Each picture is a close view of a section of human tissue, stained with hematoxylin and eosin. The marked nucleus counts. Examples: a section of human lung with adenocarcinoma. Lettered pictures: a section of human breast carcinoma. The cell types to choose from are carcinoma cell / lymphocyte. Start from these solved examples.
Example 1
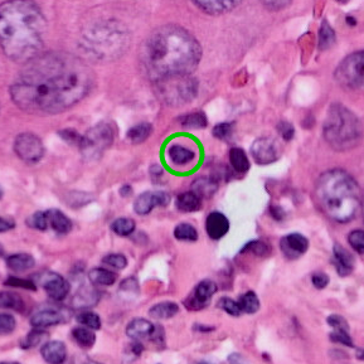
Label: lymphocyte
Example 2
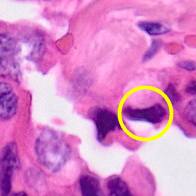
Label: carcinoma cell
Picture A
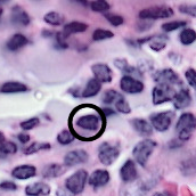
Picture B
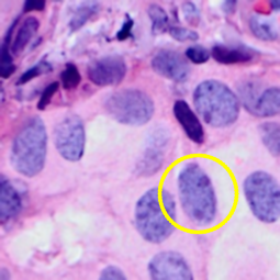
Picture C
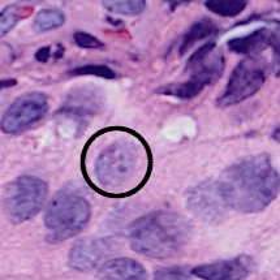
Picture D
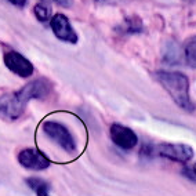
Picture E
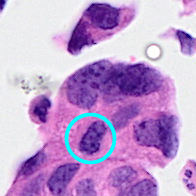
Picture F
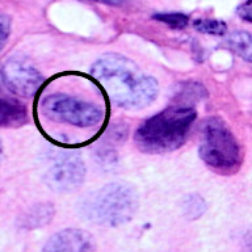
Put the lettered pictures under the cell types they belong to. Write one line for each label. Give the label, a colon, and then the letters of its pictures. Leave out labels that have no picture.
carcinoma cell: B, C, E, F
lymphocyte: A, D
